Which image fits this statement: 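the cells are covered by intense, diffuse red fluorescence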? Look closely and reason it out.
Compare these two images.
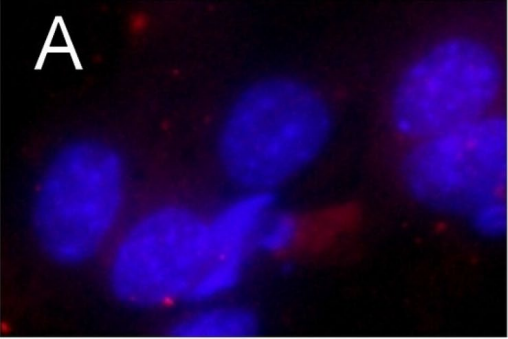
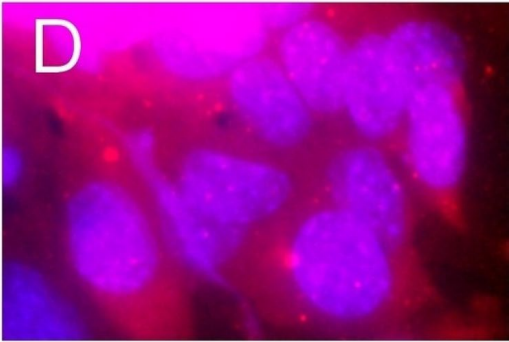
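The second image. Second image: bright magenta-red glow spreads over and between nearly all cells around the blue nuclei. First image: blue nuclei on a dark background with only a few tiny red specks and a faint red haze.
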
